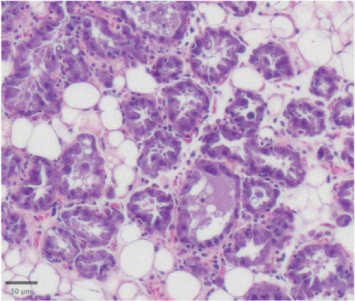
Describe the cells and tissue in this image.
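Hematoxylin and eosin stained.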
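Mammary gland with closely packed glandular alveoli set among fat cells. Each alveolus is lined by a single layer of cuboidal to columnar epithelial cells with round purple nuclei and pink to lilac cytoplasm, some cells with pale vacuoles toward the lumen. Between alveoli lie clear, rounded fat cells of varied size, singly or in small groups, with thin pink walls. Thin strands of pink stroma with small elongated nuclei and a few red blood cells separate the alveoli.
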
